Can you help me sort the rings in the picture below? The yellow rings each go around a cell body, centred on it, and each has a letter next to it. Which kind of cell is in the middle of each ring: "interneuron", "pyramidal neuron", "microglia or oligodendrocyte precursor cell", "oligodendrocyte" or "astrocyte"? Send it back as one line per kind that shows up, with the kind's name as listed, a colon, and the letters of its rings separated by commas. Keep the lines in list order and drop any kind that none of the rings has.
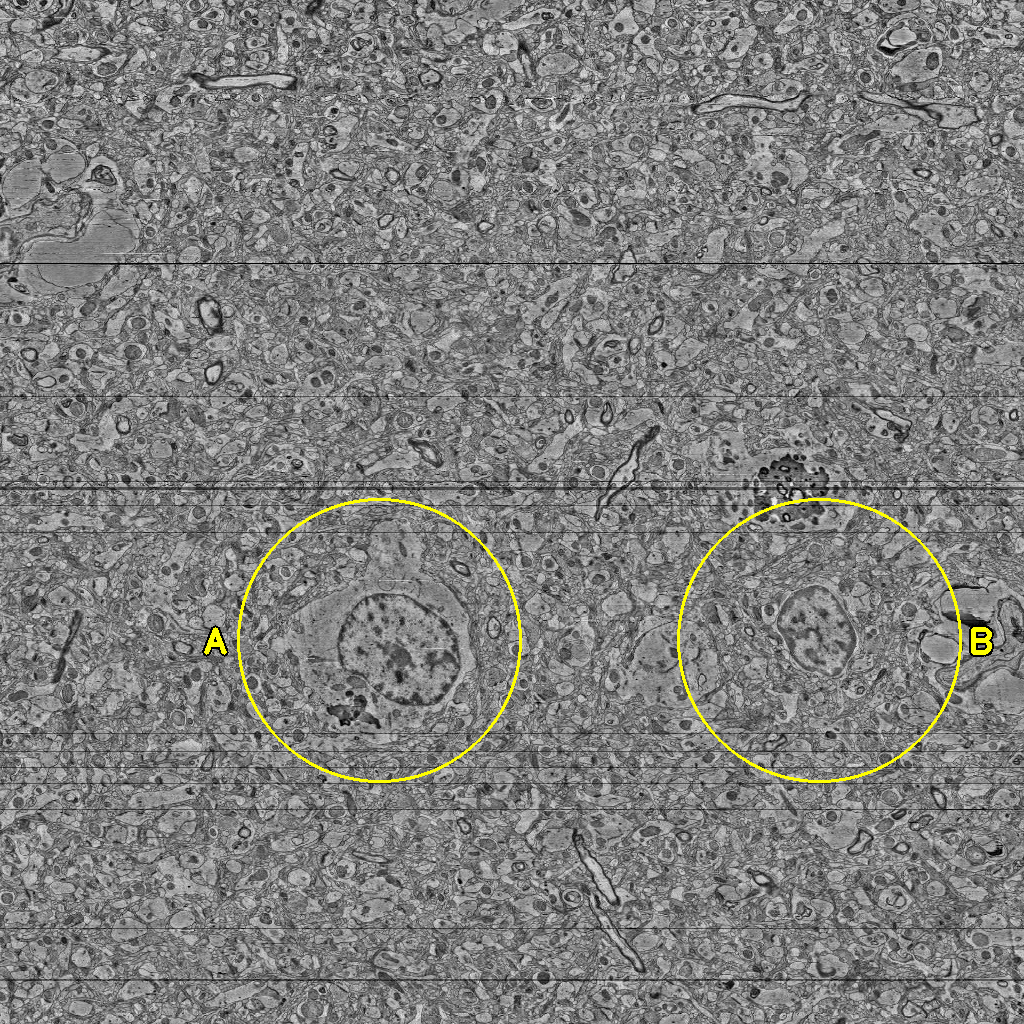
microglia or oligodendrocyte precursor cell: B
astrocyte: A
